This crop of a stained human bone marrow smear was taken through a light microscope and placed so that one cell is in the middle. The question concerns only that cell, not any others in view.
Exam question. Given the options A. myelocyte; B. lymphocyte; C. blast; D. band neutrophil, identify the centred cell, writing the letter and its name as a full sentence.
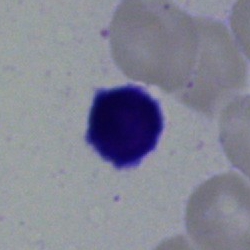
The middle cell of the crop is a lymphocyte; accordingly, option B is correct.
